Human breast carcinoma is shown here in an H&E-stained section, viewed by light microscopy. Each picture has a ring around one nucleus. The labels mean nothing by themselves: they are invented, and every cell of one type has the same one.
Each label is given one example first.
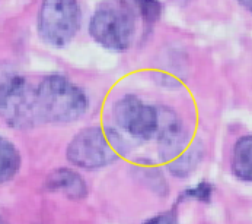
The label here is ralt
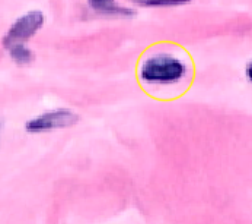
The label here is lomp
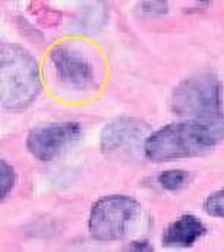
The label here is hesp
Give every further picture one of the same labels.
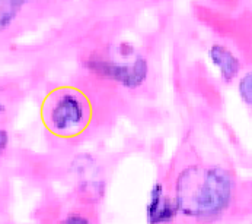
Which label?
hesp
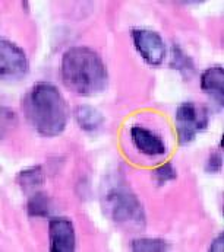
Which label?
lomp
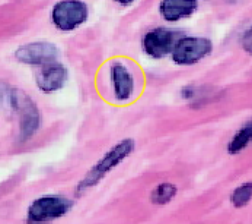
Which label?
lomp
